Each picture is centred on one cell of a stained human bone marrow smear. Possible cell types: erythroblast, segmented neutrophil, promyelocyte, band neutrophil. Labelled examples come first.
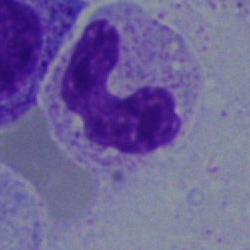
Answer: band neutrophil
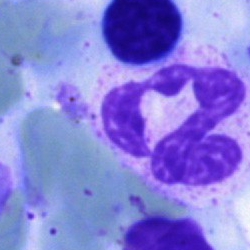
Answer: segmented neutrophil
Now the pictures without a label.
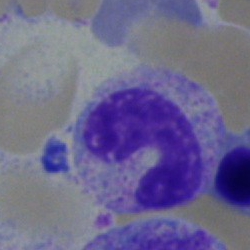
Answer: band neutrophil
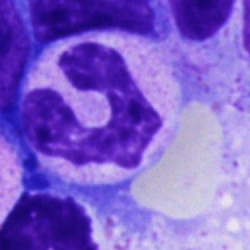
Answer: band neutrophil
